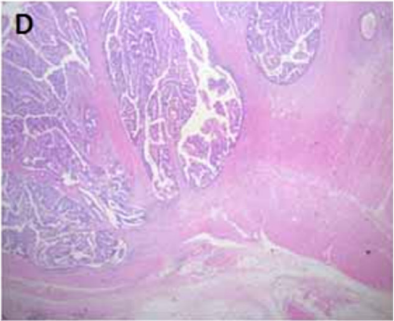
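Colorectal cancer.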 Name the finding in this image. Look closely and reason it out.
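Large tumor nodules with smooth, rounded borders. Nodules push against pink fibrous and muscular tissue without scattered small nests. On this evidence: expanding.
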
